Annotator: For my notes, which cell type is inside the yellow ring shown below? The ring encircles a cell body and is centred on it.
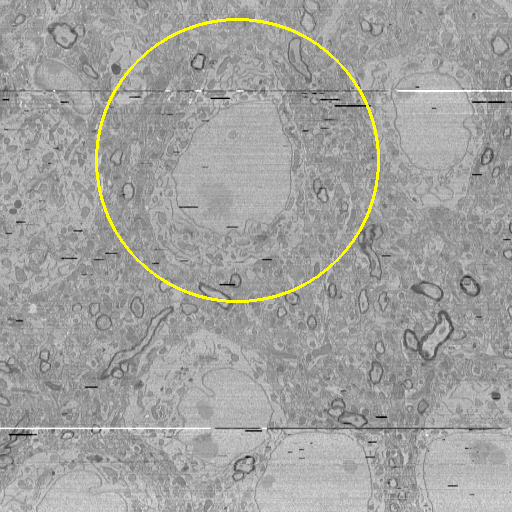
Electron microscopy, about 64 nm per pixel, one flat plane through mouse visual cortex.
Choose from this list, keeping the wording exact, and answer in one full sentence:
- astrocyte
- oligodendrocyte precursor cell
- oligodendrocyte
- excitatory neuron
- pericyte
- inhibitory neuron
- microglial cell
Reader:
At the centre of the yellow ring there is an inhibitory neuron, as shown in the picture.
